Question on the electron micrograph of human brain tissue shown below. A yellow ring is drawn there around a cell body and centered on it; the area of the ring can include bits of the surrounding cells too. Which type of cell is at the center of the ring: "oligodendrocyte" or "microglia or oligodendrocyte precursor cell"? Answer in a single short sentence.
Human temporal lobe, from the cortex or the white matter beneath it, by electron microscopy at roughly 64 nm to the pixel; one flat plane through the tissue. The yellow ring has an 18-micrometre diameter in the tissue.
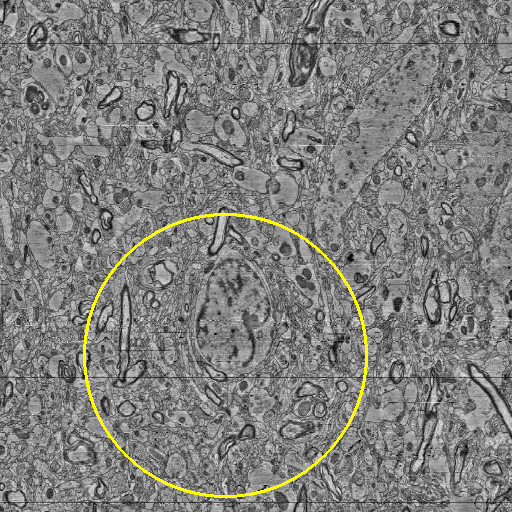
The ring is centered on a microglial cell or oligodendrocyte precursor cell.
